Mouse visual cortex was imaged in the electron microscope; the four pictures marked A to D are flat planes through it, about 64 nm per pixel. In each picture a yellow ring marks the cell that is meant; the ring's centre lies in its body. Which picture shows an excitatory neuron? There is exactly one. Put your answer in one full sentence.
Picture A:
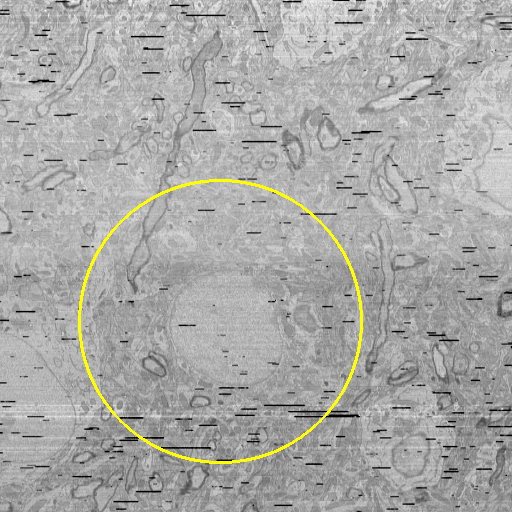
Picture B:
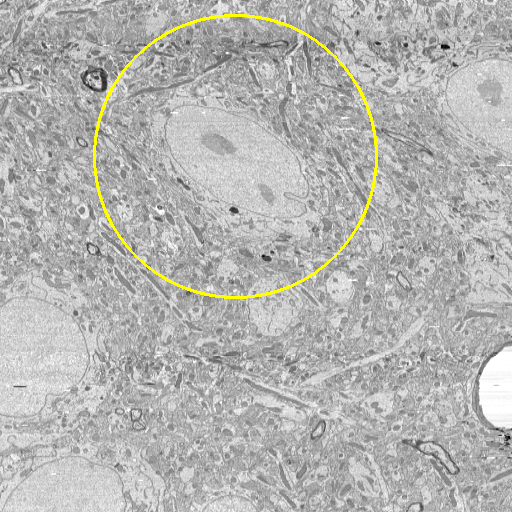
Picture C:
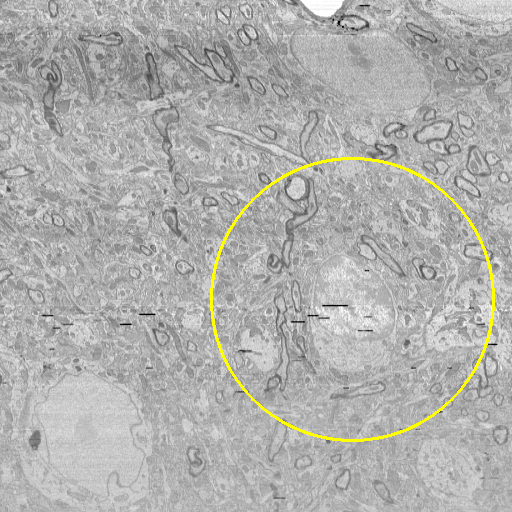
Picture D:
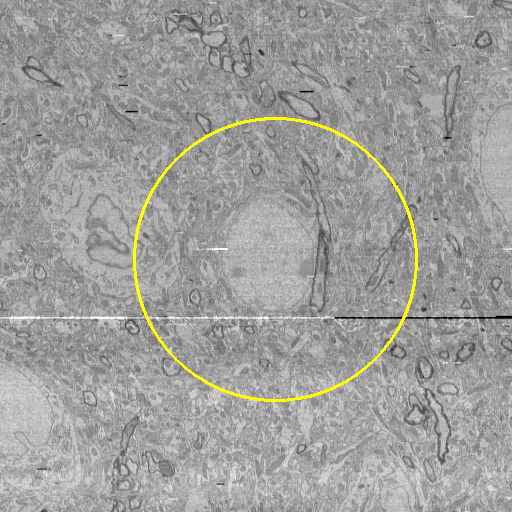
The excitatory neuron is the one in picture B.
